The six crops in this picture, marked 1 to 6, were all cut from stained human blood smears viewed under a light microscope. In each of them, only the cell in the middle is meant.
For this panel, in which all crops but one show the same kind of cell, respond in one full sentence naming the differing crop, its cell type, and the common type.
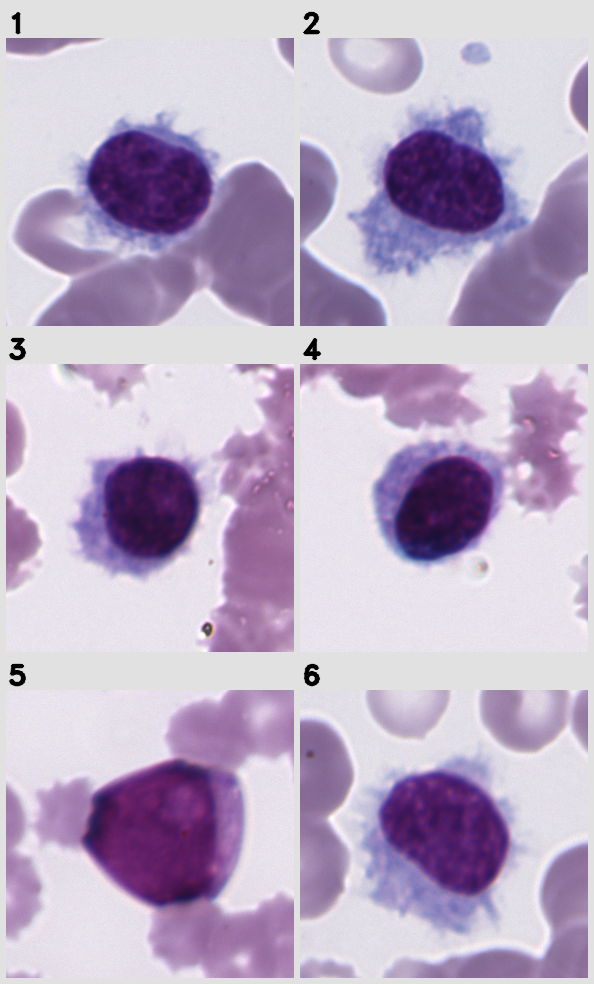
Shown in crop 5 is a blast, in contrast to the hairy cells of all the other crops.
